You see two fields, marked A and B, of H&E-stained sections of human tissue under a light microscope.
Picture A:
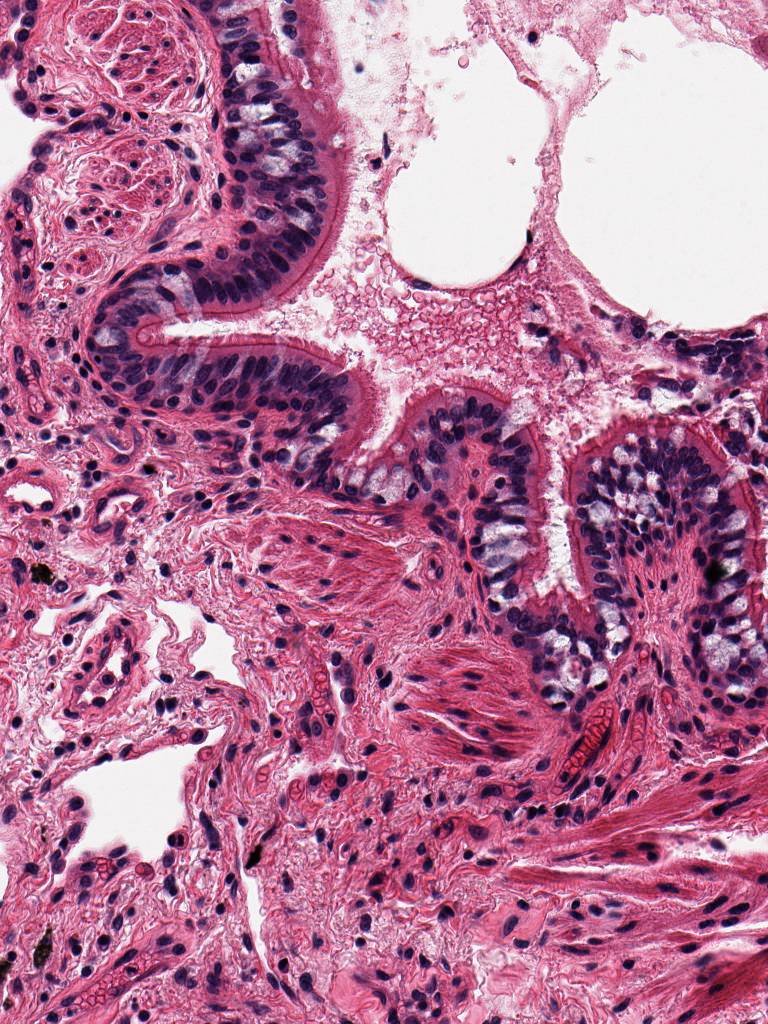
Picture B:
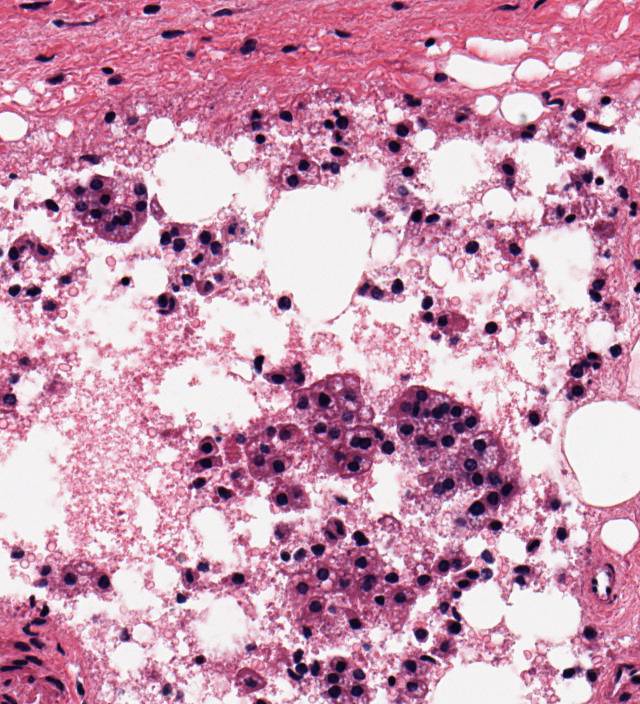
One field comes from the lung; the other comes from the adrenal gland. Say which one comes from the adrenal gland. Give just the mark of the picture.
B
